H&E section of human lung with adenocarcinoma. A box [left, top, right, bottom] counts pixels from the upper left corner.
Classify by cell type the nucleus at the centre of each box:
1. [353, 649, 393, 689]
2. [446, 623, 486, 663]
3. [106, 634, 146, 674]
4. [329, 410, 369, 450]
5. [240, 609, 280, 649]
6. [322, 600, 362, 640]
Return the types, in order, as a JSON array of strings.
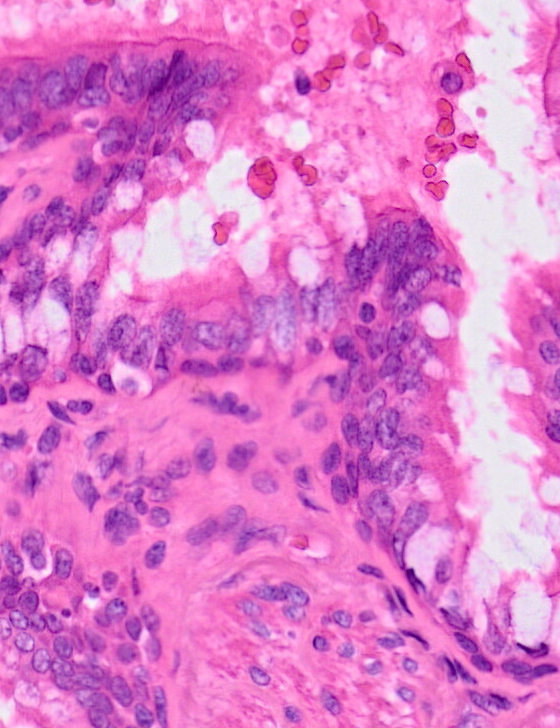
["smooth muscle cell or pericyte", "ciliated epithelial cell", "ciliated epithelial cell", "ciliated epithelial cell", "smooth muscle cell or pericyte", "smooth muscle cell or pericyte"]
